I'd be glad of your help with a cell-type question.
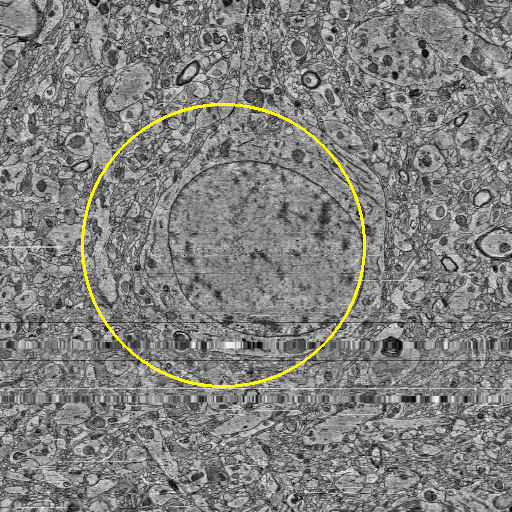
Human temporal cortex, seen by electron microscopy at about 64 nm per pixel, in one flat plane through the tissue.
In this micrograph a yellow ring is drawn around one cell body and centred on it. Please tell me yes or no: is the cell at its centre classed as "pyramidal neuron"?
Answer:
yes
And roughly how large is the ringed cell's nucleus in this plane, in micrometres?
The ringed cell's nucleus is about 13 micrometres long and 11 micrometres wide in this plane.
